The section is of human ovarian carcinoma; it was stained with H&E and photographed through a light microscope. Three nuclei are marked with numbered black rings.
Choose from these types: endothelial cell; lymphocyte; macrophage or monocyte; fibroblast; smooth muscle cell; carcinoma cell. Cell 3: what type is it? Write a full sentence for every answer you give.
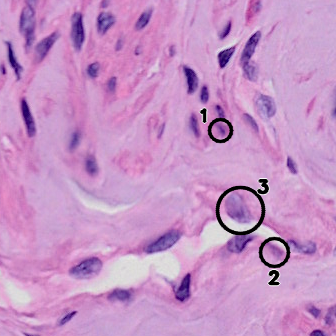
It is as an endothelial cell that the cell numbered 3 is identified.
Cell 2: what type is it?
Here the cell numbered 2 is an endothelial cell.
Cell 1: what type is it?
The cell with the number 1 is a smooth muscle cell.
